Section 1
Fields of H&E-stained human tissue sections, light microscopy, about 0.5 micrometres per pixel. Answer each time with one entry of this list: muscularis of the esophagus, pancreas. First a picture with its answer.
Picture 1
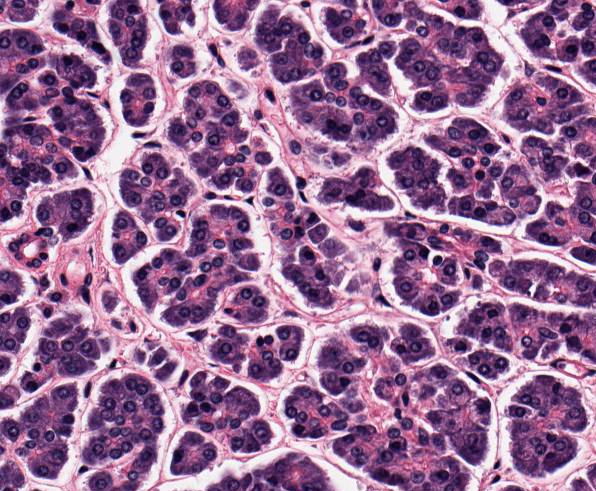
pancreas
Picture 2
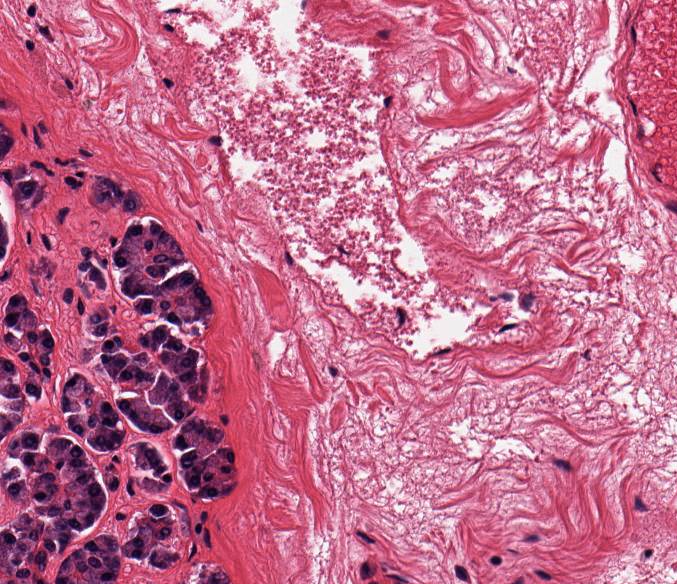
pancreas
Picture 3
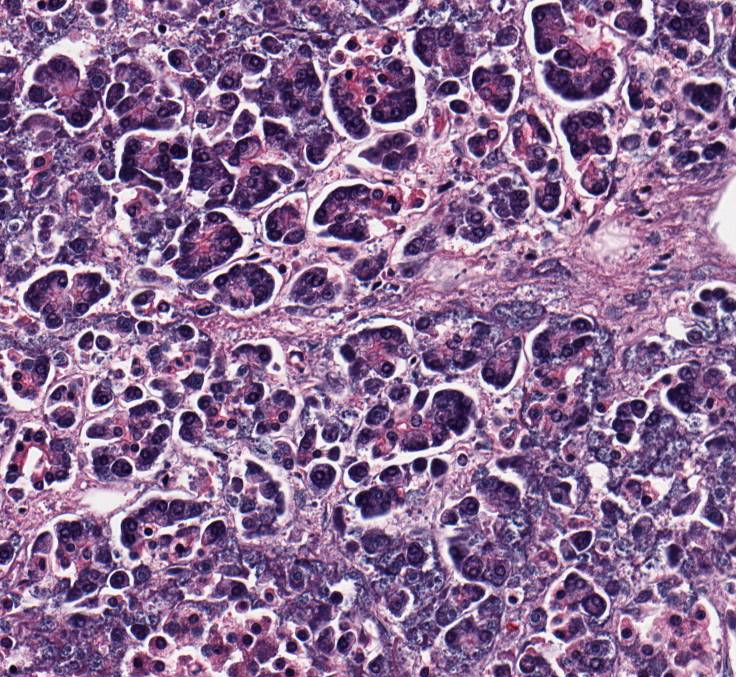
pancreas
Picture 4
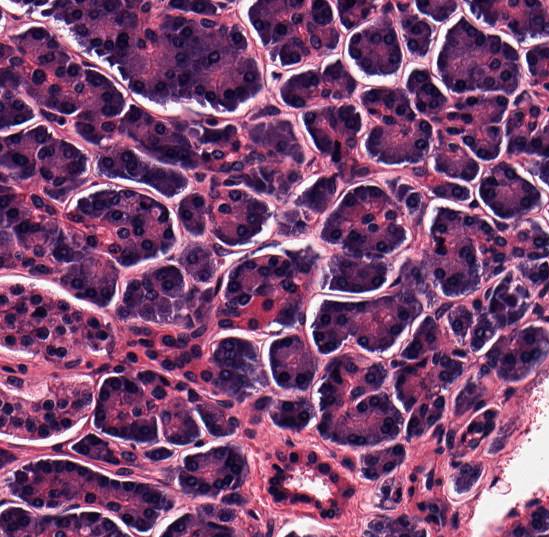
pancreas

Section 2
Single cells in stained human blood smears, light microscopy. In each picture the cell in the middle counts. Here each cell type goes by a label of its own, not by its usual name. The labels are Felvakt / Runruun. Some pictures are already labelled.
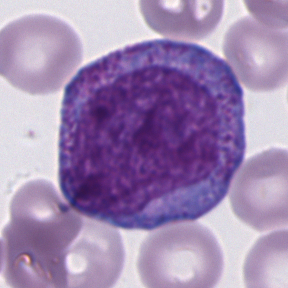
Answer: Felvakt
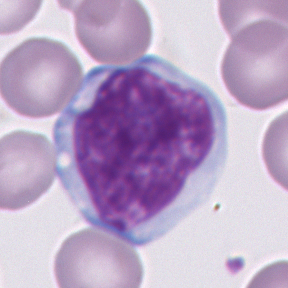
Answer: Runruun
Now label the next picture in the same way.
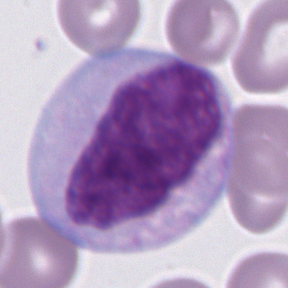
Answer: Felvakt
